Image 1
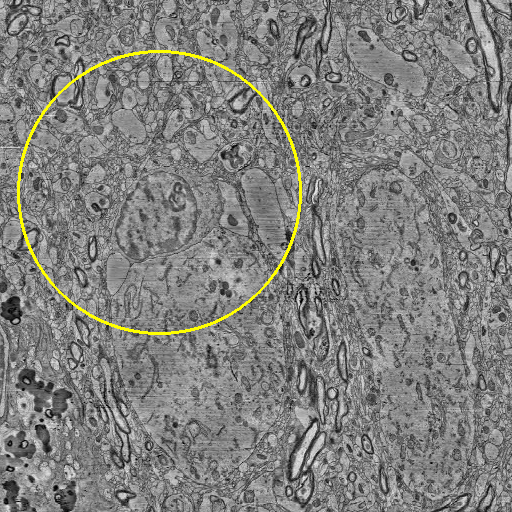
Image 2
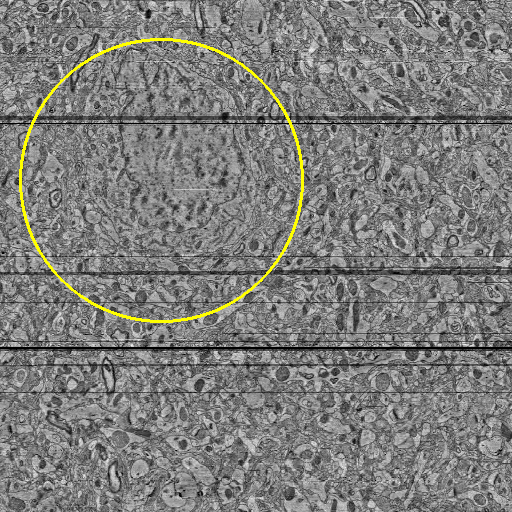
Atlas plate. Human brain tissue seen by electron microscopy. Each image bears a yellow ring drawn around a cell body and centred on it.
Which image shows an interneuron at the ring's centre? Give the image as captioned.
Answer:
Image 2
